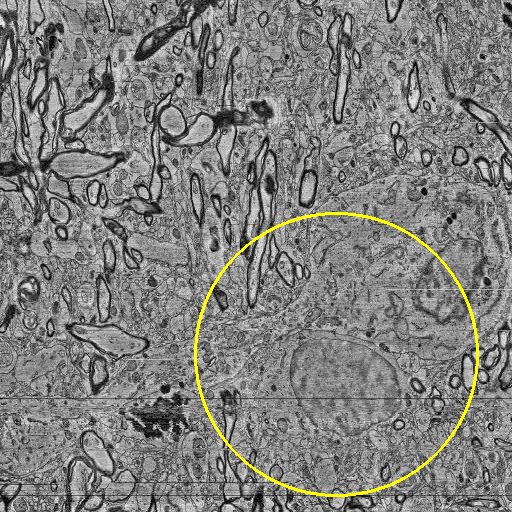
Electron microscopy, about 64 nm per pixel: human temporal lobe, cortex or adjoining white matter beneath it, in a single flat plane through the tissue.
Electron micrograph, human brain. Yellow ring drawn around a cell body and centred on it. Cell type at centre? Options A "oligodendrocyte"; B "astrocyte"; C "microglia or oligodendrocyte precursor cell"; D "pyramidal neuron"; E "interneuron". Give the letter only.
A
